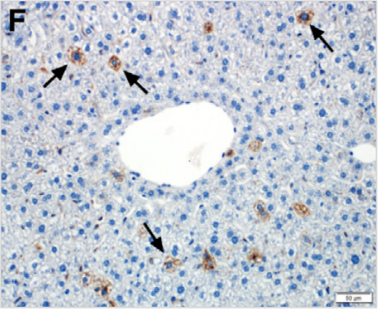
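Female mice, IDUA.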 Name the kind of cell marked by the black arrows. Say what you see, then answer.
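Arrowed cells are single large polygonal cells with round nuclei. Their cytoplasm is brown, scattered among unstained similar cells.
Hepatocytes.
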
